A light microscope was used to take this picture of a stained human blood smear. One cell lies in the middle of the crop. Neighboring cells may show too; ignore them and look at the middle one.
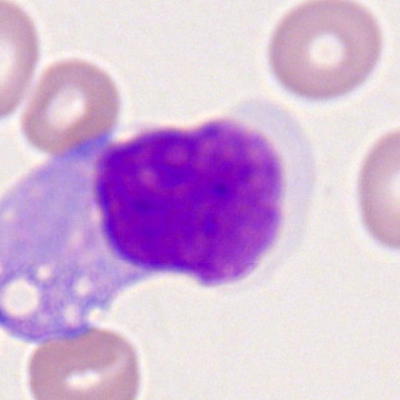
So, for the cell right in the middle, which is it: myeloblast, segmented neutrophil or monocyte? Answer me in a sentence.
Standing at the centre of this crop is a monocyte.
